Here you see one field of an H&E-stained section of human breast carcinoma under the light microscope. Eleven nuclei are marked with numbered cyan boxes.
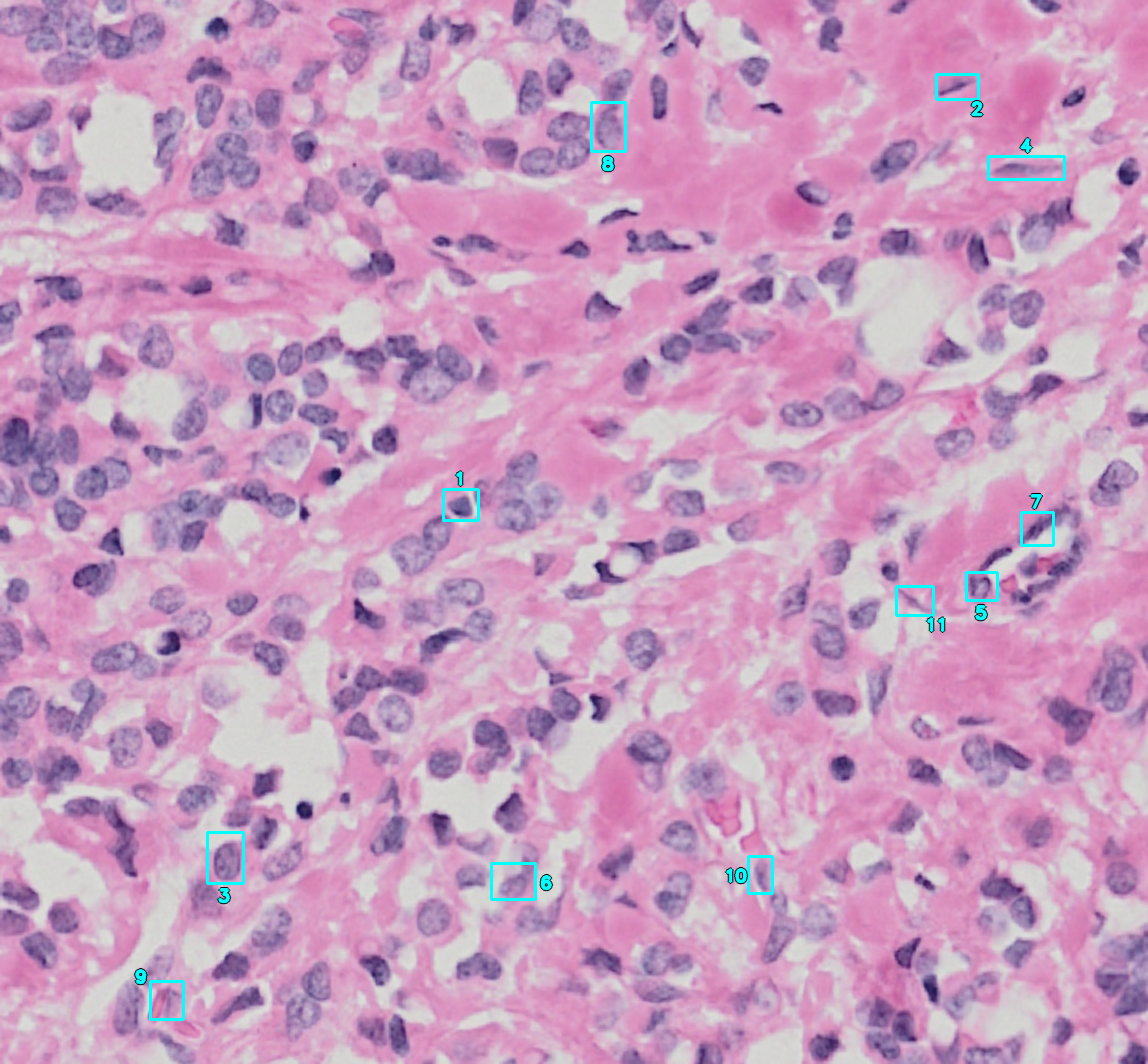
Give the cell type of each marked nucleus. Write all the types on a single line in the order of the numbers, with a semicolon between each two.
lymphocyte; fibroblast; carcinoma cell; fibroblast; endothelial cell; carcinoma cell; endothelial cell; carcinoma cell; endothelial cell; endothelial cell; fibroblast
